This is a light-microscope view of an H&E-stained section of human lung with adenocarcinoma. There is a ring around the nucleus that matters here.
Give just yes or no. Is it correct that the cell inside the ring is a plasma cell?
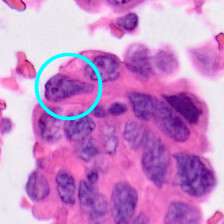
no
